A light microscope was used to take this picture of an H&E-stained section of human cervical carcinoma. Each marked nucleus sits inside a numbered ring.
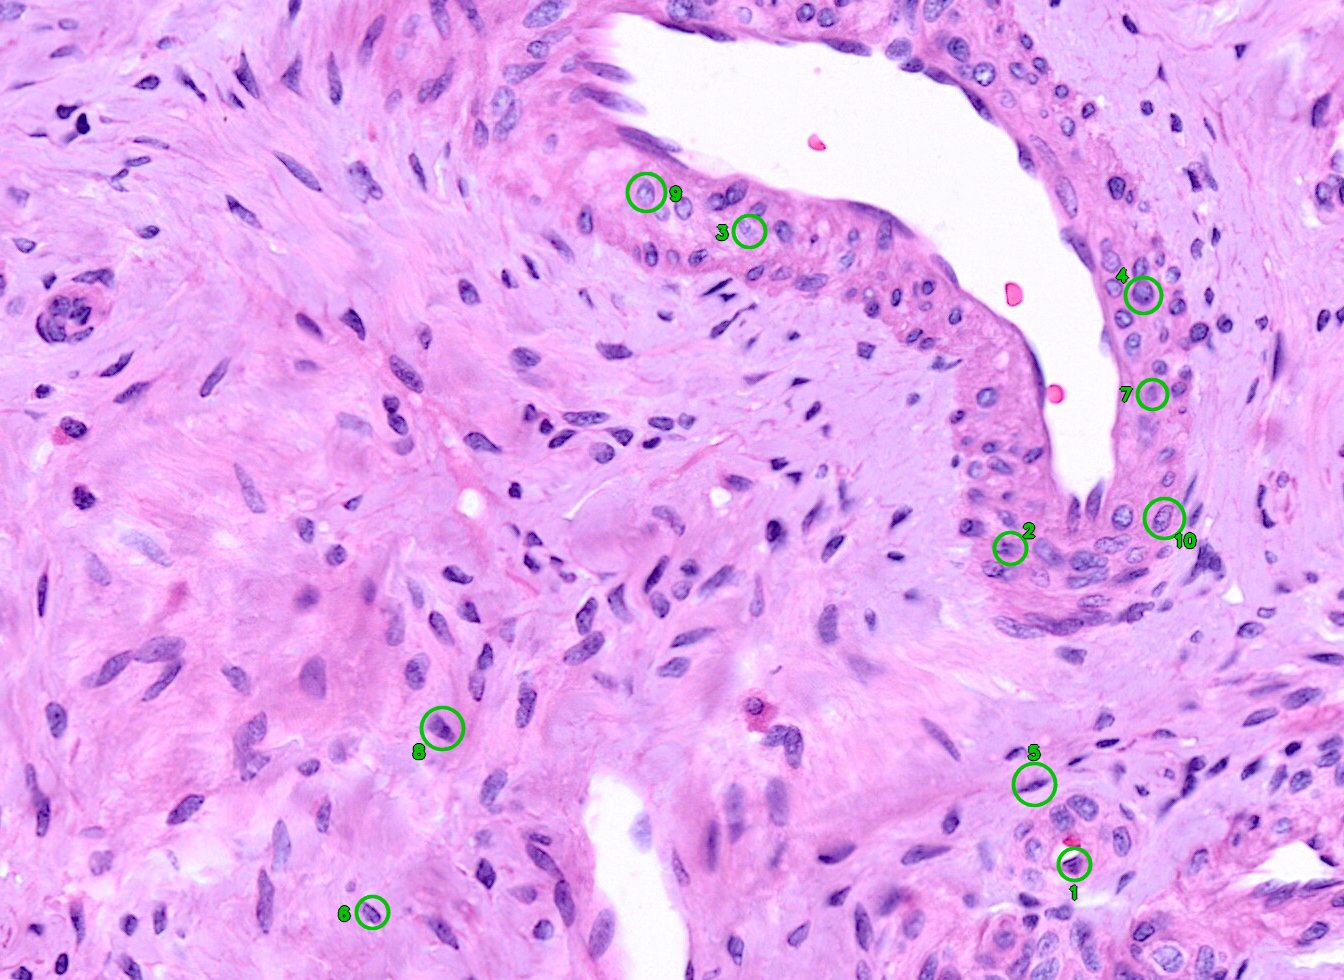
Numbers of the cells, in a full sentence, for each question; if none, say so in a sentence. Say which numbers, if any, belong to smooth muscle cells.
The cells marked by the numbers 2, 3, 4, 7, 9 and 10 are smooth muscle cells.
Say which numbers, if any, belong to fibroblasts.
The identity of cells 5, 6 and 8: they are fibroblasts.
